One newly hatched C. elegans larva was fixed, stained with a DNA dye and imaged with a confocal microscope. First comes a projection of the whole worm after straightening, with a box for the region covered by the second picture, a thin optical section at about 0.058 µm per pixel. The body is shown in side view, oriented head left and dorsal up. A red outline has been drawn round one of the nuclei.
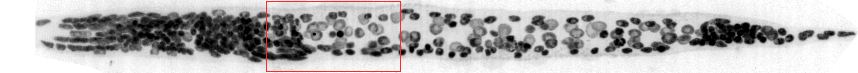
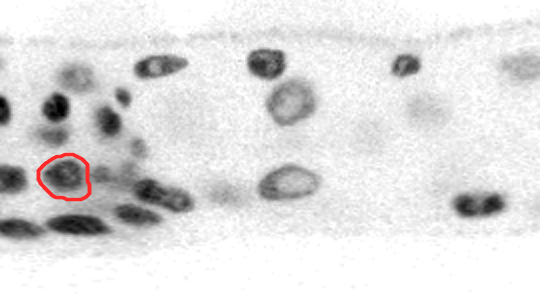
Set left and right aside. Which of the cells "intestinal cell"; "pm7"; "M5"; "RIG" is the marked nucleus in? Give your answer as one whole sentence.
The cell whose nucleus is marked is pm7, a pharyngeal muscle cell.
